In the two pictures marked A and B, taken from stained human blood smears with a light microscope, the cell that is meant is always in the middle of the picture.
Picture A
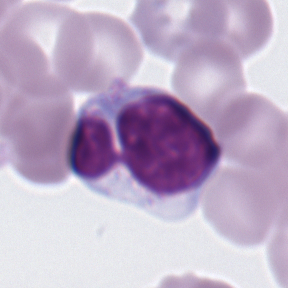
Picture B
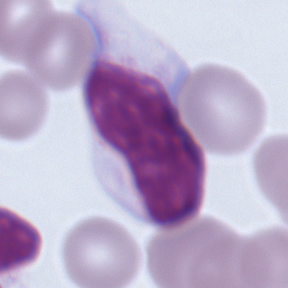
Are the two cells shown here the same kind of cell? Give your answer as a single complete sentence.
Yes; the cells in both pictures are large granular lymphocytes.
